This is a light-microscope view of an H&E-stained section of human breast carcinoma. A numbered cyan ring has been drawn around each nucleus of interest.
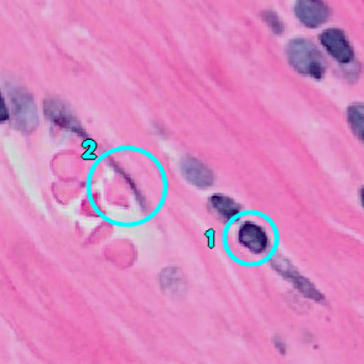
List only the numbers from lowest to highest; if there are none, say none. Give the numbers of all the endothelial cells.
2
